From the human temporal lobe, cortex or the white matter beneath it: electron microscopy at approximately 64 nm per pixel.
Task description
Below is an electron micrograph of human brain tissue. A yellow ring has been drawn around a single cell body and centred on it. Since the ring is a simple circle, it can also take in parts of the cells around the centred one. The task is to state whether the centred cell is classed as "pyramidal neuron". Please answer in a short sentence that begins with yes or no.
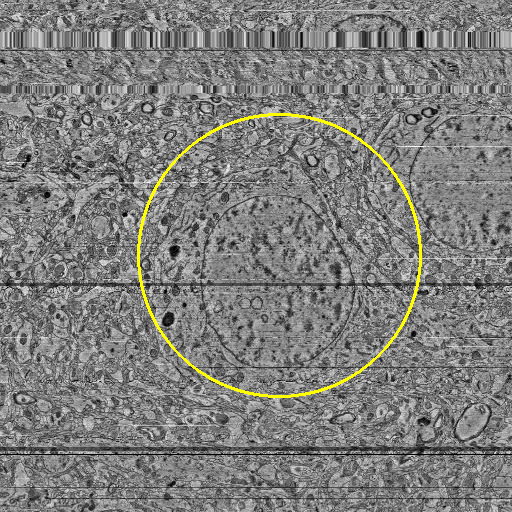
Yes, the centred cell is classed that way.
